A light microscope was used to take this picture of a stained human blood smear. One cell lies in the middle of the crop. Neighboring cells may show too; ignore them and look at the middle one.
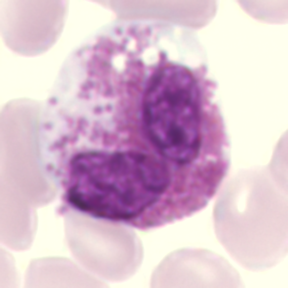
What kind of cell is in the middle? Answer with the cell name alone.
eosinophil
